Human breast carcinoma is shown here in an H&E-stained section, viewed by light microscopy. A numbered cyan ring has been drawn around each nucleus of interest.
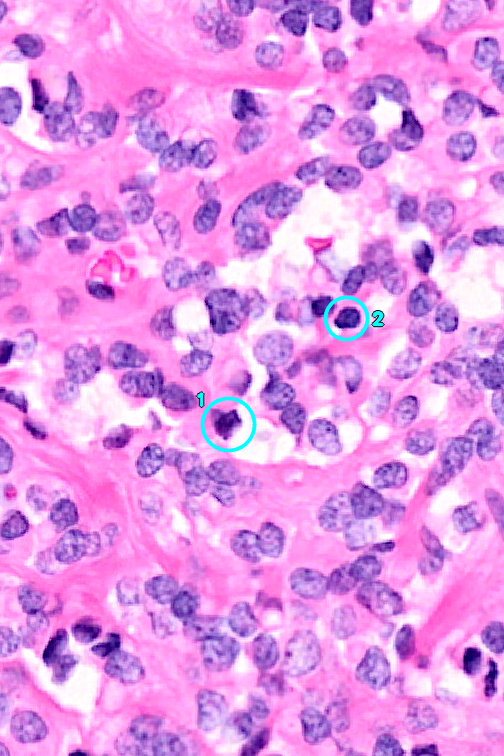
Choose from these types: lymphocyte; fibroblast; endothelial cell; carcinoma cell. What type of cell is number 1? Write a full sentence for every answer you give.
Marked with the number 1, this cell is a carcinoma cell.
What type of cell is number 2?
The marked nucleus 2 is that of a lymphocyte.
